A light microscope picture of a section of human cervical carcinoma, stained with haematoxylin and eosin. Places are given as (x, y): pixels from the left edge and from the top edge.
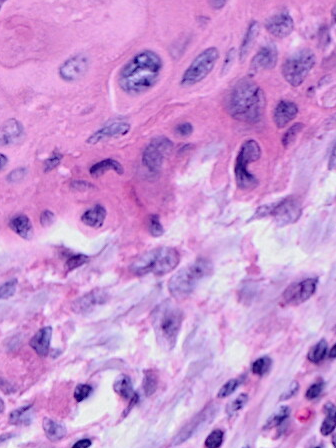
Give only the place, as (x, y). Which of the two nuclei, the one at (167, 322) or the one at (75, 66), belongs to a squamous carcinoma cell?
(75, 66)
